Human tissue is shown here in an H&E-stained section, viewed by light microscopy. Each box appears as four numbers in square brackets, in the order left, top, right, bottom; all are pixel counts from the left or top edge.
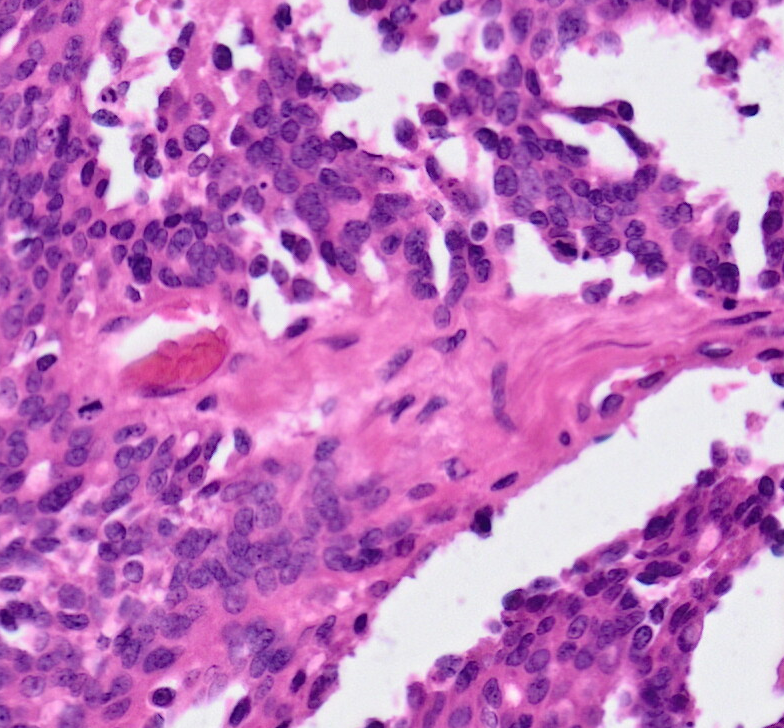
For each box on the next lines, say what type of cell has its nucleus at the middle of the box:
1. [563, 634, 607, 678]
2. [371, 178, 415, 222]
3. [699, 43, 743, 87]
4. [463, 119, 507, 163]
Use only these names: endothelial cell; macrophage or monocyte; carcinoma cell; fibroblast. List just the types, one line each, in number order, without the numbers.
carcinoma cell
carcinoma cell
macrophage or monocyte
carcinoma cell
